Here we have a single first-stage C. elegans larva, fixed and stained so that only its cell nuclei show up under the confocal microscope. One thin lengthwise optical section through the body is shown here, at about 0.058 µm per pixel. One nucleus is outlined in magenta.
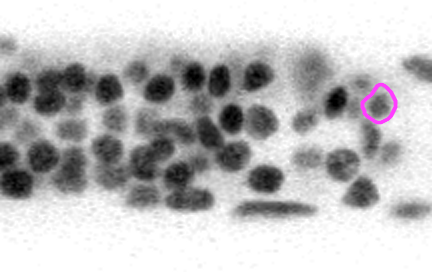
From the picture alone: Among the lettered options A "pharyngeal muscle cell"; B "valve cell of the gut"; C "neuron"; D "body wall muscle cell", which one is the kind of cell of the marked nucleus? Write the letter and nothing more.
B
